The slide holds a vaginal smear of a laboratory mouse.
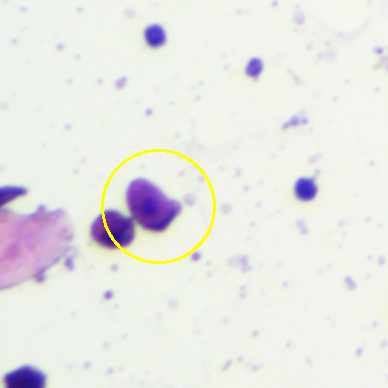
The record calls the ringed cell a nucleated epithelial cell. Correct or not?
Correct; it is a nucleated epithelial cell.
